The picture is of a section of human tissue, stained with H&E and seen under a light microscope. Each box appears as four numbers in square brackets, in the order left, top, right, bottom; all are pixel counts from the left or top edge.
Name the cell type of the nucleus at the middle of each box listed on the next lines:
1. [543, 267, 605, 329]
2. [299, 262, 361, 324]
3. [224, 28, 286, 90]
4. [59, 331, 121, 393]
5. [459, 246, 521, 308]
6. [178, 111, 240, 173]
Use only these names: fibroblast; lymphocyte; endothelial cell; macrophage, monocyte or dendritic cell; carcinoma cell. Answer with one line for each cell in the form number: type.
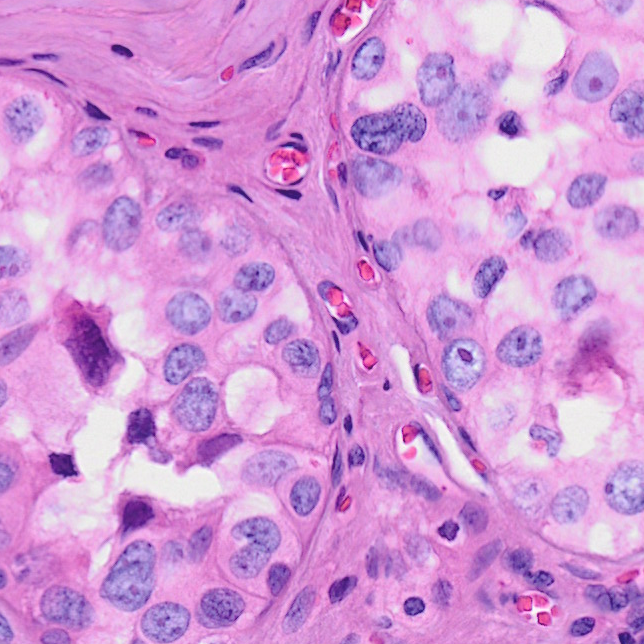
1: carcinoma cell
2: endothelial cell
3: fibroblast
4: carcinoma cell
5: carcinoma cell
6: fibroblast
